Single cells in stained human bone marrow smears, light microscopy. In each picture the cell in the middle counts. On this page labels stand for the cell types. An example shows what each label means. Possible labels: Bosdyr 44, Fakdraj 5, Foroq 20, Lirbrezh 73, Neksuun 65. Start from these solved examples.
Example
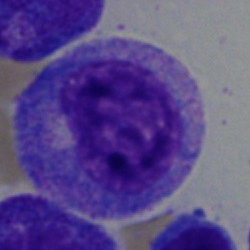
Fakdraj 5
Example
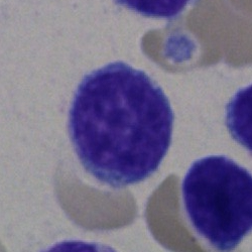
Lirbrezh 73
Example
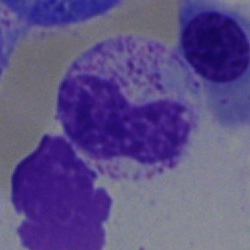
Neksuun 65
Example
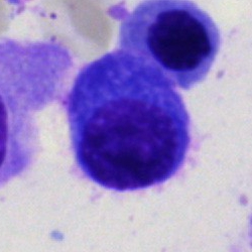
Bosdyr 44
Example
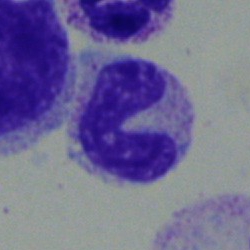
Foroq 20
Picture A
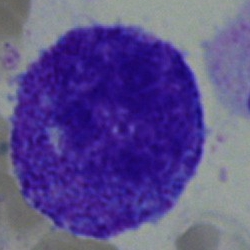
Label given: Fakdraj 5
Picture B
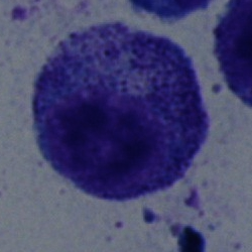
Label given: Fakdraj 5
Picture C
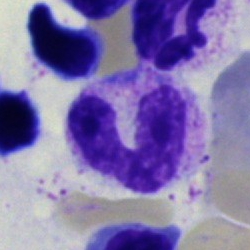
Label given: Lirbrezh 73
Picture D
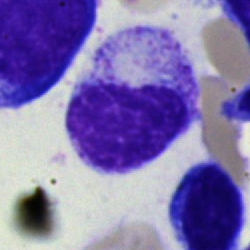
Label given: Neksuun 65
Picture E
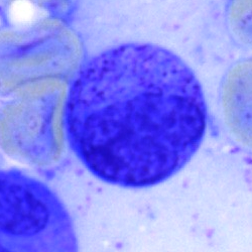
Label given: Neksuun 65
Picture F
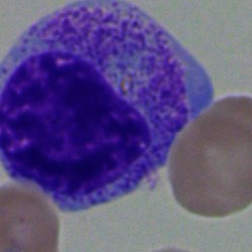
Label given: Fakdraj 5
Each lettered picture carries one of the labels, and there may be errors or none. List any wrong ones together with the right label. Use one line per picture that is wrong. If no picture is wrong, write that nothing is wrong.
C is labelled Lirbrezh 73; correct label: Foroq 20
